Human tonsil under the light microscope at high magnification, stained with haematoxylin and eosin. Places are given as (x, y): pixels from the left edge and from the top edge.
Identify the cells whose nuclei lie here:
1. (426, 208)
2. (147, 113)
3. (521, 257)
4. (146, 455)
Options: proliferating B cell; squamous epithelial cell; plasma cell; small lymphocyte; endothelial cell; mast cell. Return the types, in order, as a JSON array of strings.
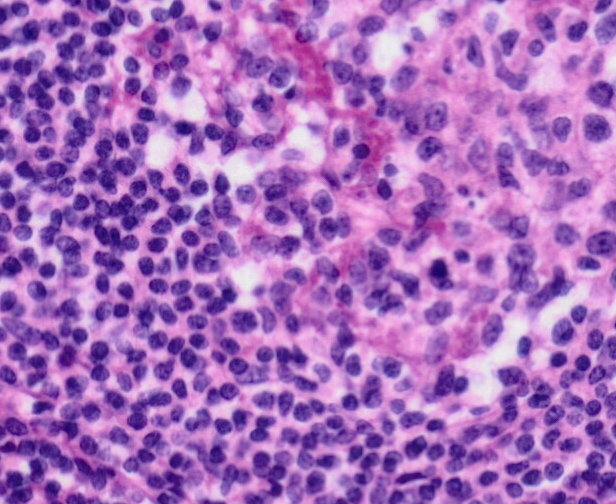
["proliferating B cell", "small lymphocyte", "proliferating B cell", "small lymphocyte"]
